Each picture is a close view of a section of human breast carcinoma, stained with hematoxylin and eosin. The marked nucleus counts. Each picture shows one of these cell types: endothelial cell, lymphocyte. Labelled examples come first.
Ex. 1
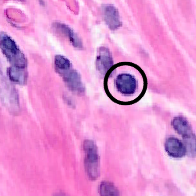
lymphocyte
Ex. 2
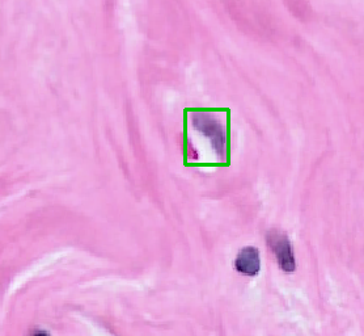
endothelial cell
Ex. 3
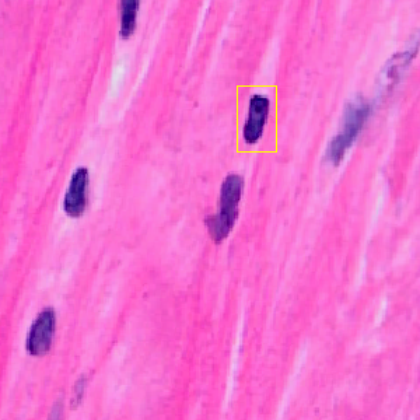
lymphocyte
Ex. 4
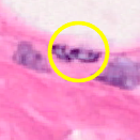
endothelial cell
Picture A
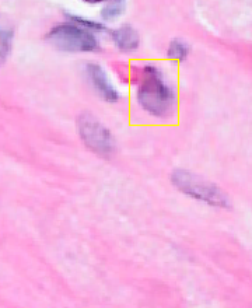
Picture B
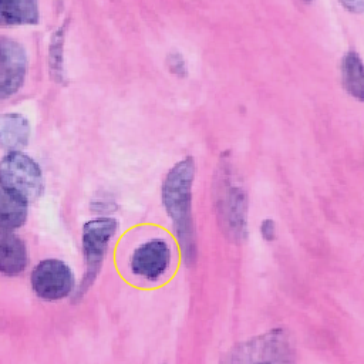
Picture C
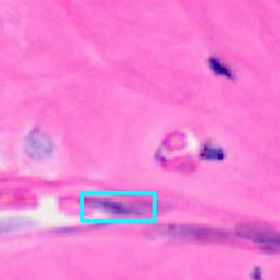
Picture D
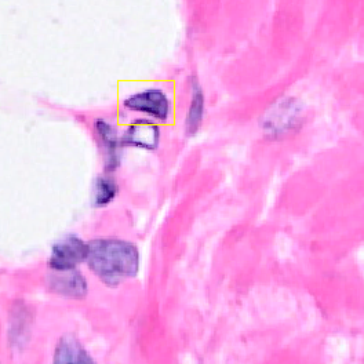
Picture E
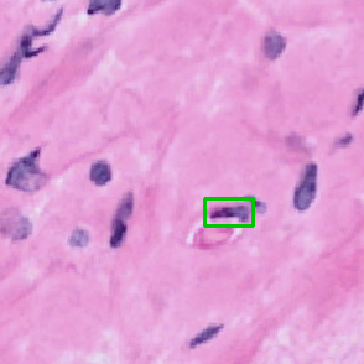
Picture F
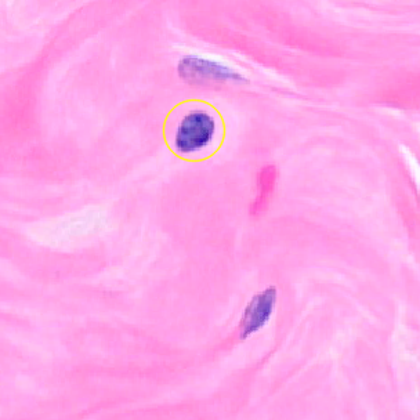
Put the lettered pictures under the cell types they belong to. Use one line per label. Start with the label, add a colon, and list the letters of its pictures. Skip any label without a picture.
endothelial cell: A, C, D, E
lymphocyte: B, F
